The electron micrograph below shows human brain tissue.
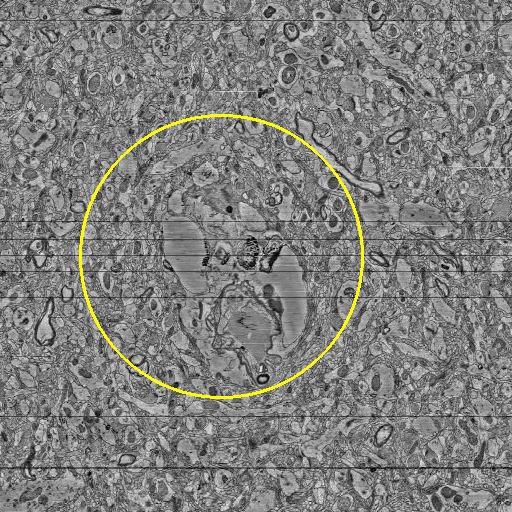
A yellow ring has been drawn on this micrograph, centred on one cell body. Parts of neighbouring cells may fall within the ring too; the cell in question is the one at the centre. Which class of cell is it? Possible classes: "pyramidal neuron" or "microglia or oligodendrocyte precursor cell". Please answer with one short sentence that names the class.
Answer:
In the centre of the ring sits a microglial cell or oligodendrocyte precursor cell.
